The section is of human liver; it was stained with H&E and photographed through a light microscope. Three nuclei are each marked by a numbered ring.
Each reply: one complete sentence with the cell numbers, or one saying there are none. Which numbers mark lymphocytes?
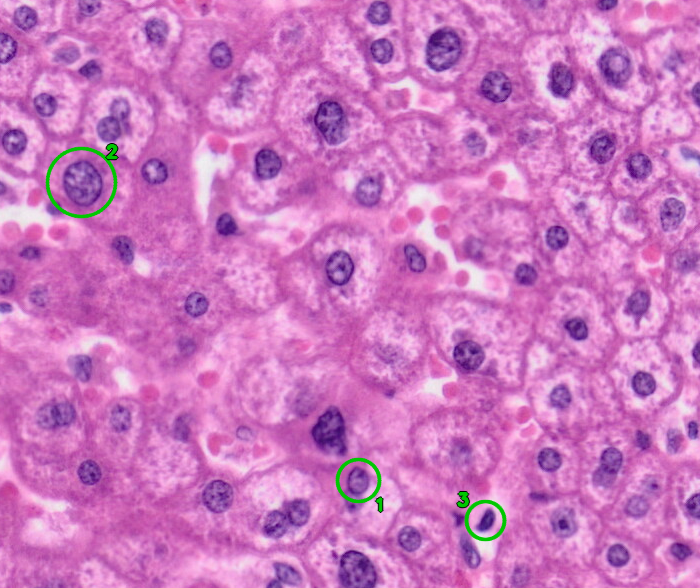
Cell number 3 alone is a lymphocyte; the rest are not.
